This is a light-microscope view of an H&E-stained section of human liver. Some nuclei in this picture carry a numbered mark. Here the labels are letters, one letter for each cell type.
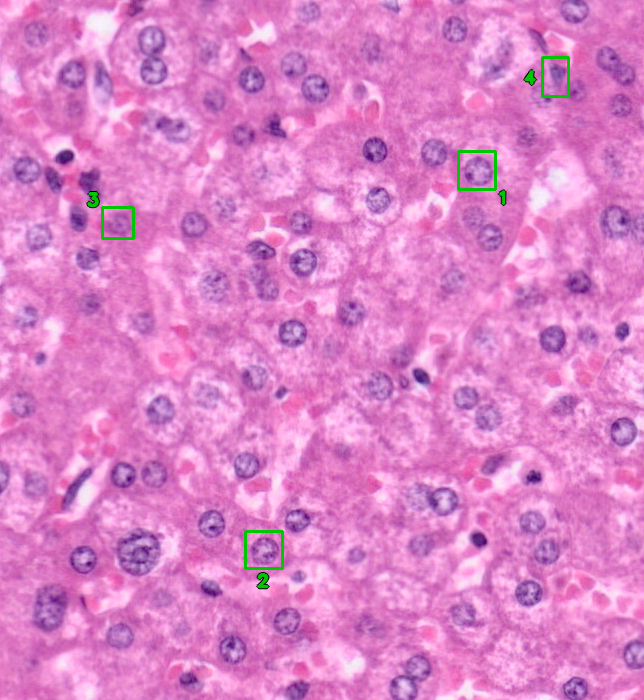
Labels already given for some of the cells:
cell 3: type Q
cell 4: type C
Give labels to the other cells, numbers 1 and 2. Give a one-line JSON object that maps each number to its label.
{"1": "type Q", "2": "type Q"}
